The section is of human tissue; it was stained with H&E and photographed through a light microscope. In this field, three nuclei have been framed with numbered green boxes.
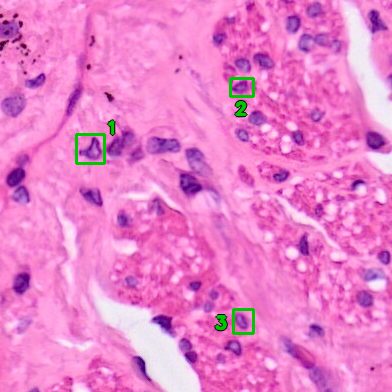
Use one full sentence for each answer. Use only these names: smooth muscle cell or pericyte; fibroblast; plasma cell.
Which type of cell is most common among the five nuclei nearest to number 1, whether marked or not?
Of the five nuclei nearest to number 1, most belong to plasma cells.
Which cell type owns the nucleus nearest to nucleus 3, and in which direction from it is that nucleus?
The closest nucleus belongs to a smooth muscle cell or pericyte and sits below nucleus 3.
